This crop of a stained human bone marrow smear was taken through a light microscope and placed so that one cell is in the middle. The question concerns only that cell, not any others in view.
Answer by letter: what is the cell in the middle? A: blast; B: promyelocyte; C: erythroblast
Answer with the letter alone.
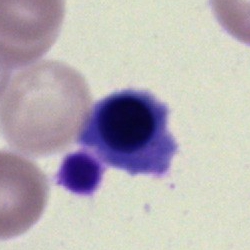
C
